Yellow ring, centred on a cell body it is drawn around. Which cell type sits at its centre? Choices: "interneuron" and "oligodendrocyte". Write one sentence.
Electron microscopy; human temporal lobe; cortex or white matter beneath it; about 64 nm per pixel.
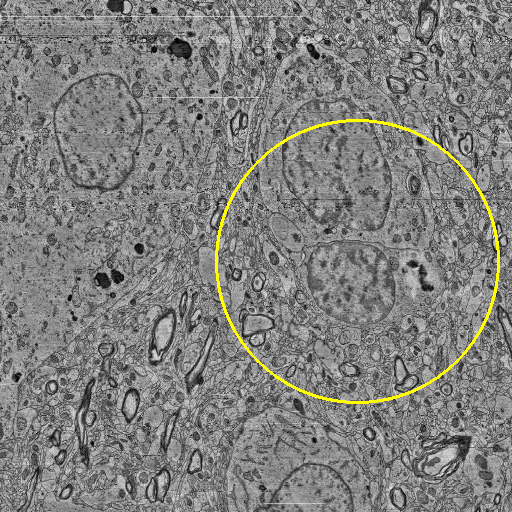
At the centre of the ring sits an oligodendrocyte.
